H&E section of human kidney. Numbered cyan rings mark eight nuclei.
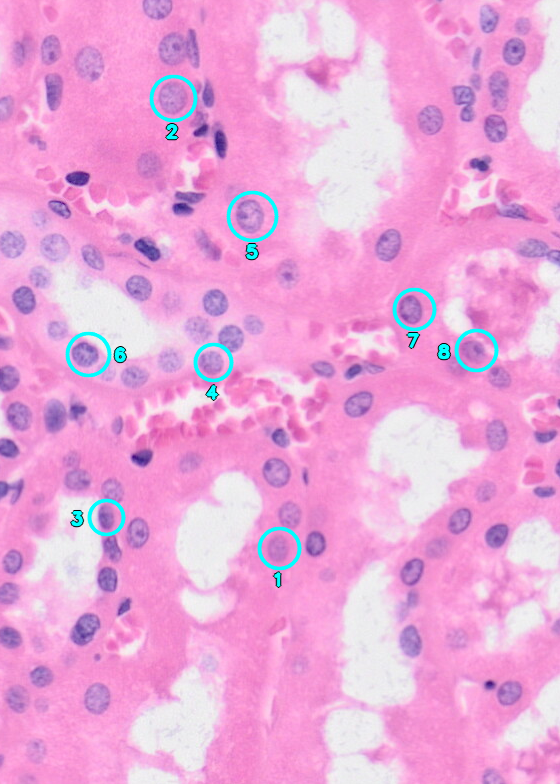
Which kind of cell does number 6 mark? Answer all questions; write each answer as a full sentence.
The cell indicated with the number 6 is classed as a collecting duct cell.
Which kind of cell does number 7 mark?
The cell numbered 7 represents a proximal tubule cell.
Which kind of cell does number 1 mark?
In this section, the cell tagged 1 is a proximal tubule cell.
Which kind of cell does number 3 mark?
The cell tagged with 3 in this tissue section is a loop of Henle or distal tubule cell.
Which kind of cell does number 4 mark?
The cell referenced by the number 4 is a collecting duct cell in this field.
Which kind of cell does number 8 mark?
Among the marked cells, number 8 is a proximal tubule cell.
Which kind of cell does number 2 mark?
The cell that carries the label 2 is a proximal tubule cell.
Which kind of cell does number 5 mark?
What the number 5 marks in this field is a proximal tubule cell.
